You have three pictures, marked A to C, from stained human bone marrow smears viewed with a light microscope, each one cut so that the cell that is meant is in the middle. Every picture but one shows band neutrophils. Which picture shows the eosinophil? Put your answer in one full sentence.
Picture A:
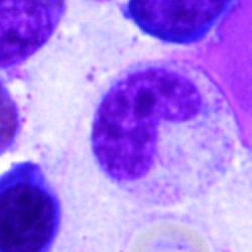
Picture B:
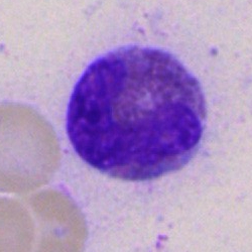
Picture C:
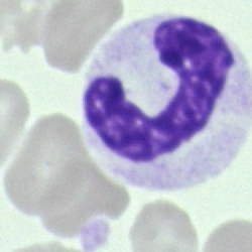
Picture B is the one that shows the eosinophil.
